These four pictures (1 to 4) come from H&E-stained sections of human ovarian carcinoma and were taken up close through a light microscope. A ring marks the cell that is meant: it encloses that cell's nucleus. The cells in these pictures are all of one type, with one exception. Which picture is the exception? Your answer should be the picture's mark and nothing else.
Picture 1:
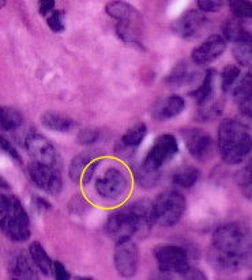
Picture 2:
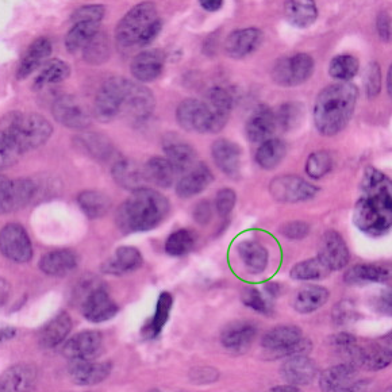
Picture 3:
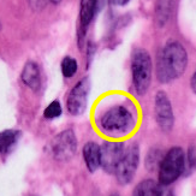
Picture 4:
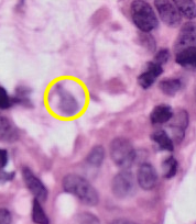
4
